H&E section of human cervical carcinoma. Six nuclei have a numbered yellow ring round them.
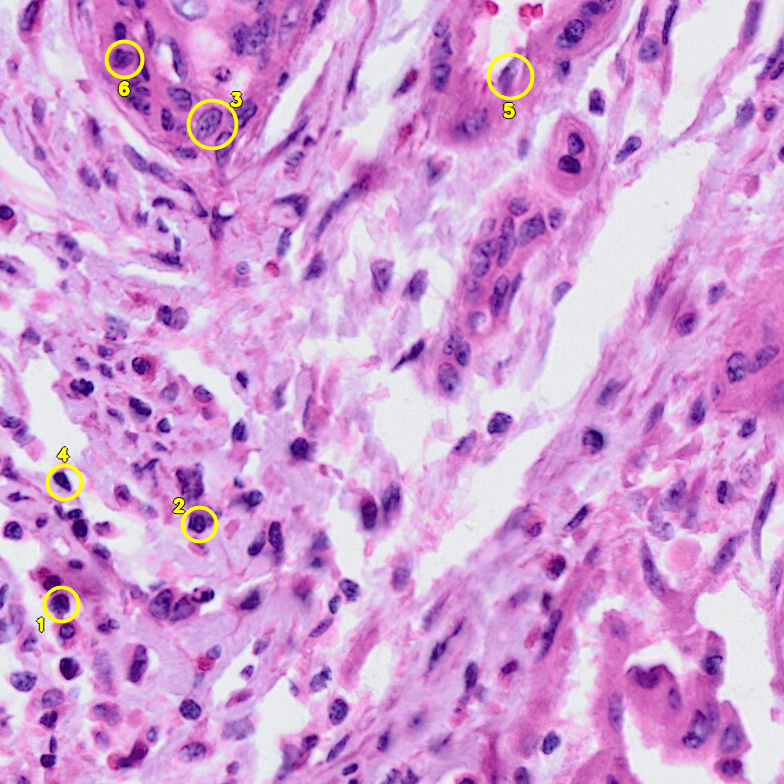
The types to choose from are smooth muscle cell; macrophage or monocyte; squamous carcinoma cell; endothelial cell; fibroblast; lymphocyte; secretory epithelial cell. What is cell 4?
lymphocyte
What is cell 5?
endothelial cell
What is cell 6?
squamous carcinoma cell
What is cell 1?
lymphocyte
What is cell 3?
squamous carcinoma cell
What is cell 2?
lymphocyte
